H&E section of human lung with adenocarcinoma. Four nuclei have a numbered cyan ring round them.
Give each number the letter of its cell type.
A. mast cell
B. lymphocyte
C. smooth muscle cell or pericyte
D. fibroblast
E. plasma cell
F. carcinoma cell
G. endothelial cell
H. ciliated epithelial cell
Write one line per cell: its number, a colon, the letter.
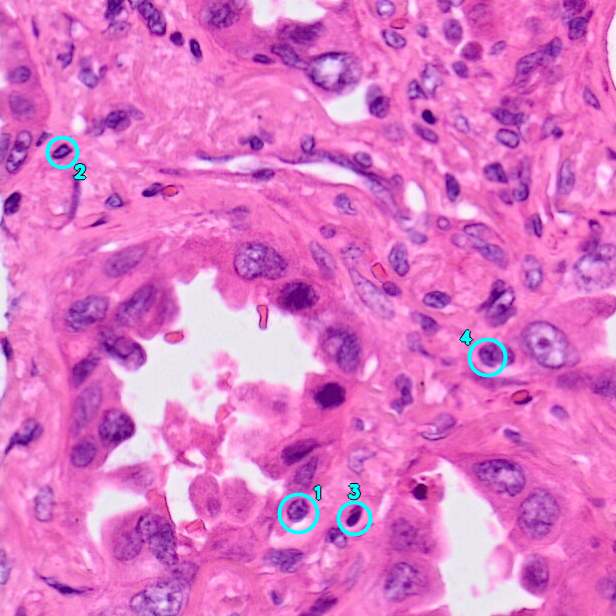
1: B
2: A
3: B
4: B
